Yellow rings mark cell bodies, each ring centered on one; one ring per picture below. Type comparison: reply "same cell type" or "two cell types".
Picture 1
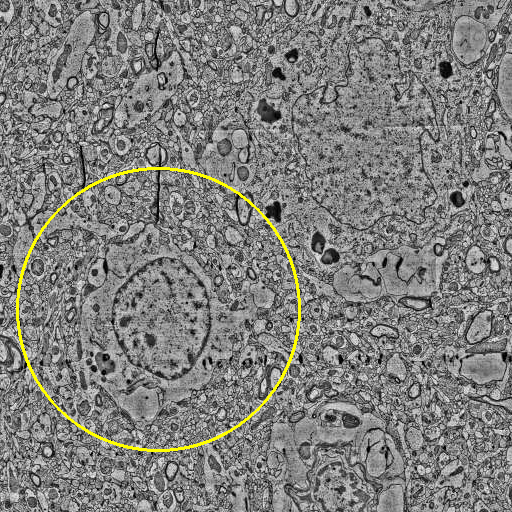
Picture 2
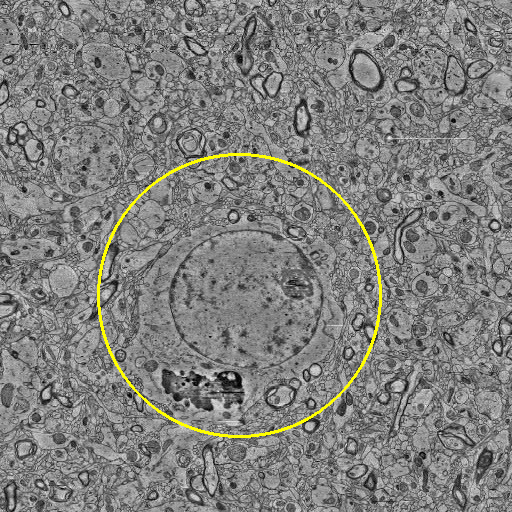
same cell type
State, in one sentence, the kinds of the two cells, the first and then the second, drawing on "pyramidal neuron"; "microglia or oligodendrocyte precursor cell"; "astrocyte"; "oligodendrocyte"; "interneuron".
Each of the ringed cells, first and second, is an astrocyte.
